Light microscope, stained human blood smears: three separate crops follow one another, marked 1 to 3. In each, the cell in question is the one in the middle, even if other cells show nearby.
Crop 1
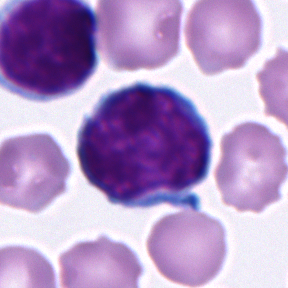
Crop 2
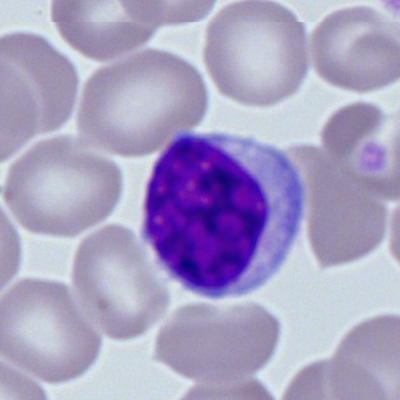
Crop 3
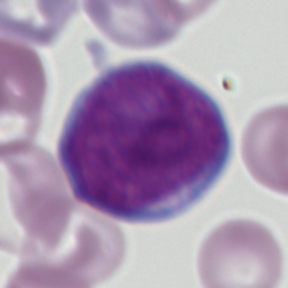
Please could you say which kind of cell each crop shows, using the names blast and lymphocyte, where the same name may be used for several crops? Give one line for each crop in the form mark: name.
1: lymphocyte
2: lymphocyte
3: blast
